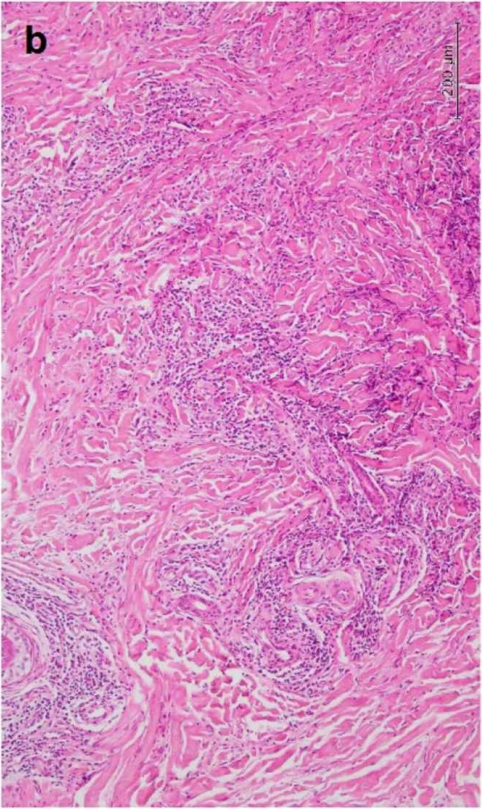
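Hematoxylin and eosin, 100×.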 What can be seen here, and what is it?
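This is dermis with a dense perivascular inflammatory infiltrate set among wavy pink collagen bundles. Sheets and cuffs of small dark purple nuclei crowd around small vessels, forming bands and clusters across the field. Between the clusters the collagen is less cellular, with scattered spindle-shaped nuclei.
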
